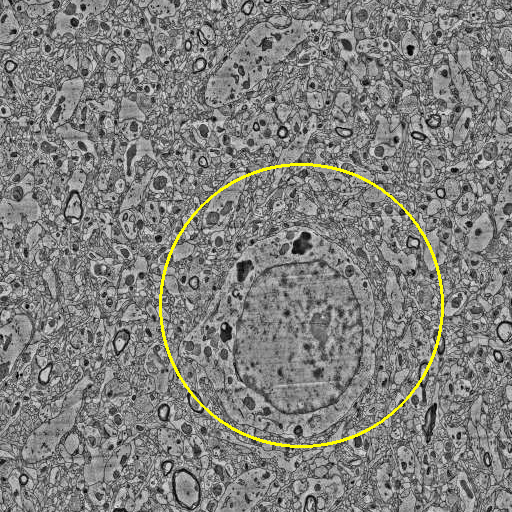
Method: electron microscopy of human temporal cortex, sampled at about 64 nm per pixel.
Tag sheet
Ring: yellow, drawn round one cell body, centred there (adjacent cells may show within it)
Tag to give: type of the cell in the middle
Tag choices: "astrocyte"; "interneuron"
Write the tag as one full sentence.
I tag the cell centred in the yellow ring as an interneuron in this picture.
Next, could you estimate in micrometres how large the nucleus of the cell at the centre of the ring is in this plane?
The nucleus appears roughly 10 by 8 micrometres in this plane.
